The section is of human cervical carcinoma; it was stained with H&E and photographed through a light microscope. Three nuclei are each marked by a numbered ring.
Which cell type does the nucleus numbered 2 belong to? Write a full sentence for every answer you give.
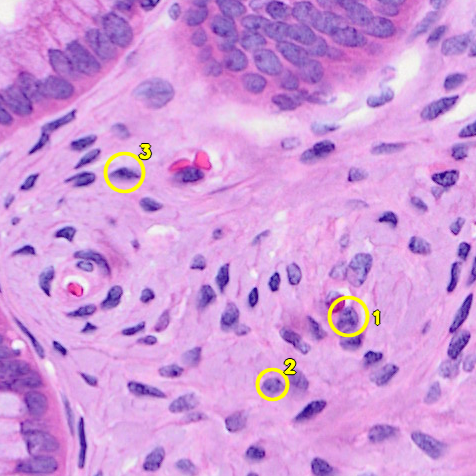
The cell numbered 2 represents a fibroblast.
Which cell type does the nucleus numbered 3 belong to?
Belonging to a fibroblast is the nucleus that carries the number 3.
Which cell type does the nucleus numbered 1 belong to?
The cell that is numbered 1 is an endothelial cell.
